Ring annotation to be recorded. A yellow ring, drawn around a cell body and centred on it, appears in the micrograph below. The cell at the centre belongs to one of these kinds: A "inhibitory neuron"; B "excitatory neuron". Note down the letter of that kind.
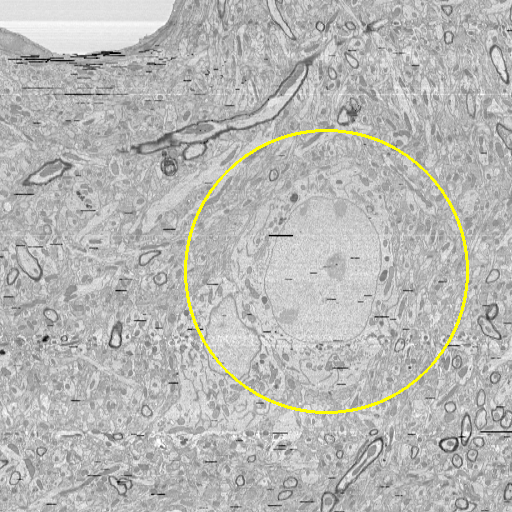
B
